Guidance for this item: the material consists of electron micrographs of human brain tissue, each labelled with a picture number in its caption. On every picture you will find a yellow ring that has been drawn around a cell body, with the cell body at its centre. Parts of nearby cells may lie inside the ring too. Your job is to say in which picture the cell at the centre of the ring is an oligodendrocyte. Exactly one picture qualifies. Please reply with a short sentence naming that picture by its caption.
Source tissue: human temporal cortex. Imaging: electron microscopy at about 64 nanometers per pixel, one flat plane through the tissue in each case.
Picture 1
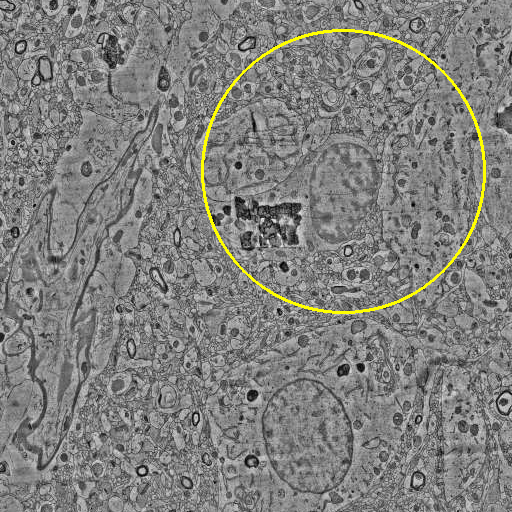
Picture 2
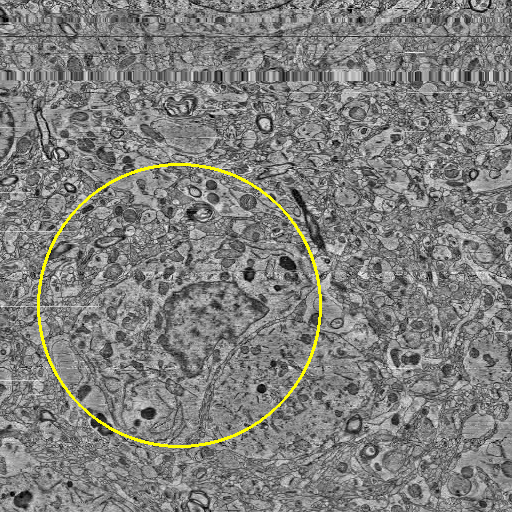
Picture 1 shows it at the centre of the ring.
